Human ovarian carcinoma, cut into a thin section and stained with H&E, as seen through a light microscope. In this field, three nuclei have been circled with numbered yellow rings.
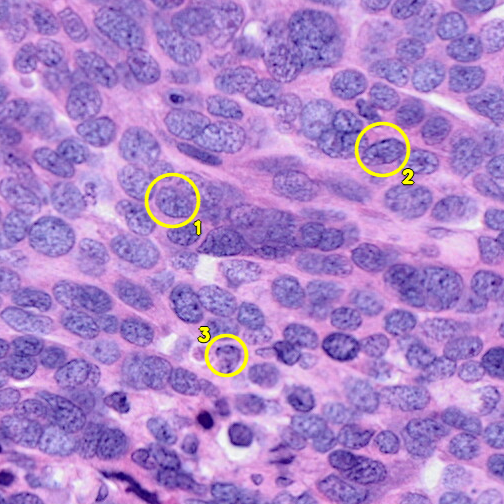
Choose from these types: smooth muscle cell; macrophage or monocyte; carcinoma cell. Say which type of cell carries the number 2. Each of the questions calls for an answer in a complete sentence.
The marked nucleus 2 is that of a carcinoma cell.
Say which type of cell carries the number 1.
At number 1, the marked cell is a carcinoma cell.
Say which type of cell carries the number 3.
The numeral 3 marks a macrophage or monocyte in this section.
